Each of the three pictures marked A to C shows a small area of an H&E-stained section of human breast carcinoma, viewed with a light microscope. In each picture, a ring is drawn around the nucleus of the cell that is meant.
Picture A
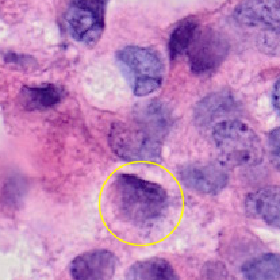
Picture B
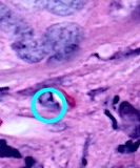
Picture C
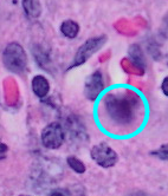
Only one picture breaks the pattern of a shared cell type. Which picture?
A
